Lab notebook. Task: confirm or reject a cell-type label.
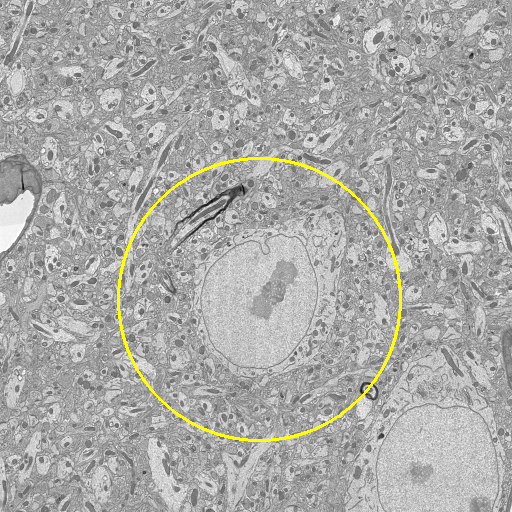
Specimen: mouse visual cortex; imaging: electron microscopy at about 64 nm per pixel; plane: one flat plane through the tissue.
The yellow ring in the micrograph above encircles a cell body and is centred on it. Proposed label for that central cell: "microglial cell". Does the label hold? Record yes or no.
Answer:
no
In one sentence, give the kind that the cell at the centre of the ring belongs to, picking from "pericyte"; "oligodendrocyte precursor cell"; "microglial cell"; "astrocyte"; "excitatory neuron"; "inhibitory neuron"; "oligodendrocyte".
Instead, the ringed cell here is an excitatory neuron.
